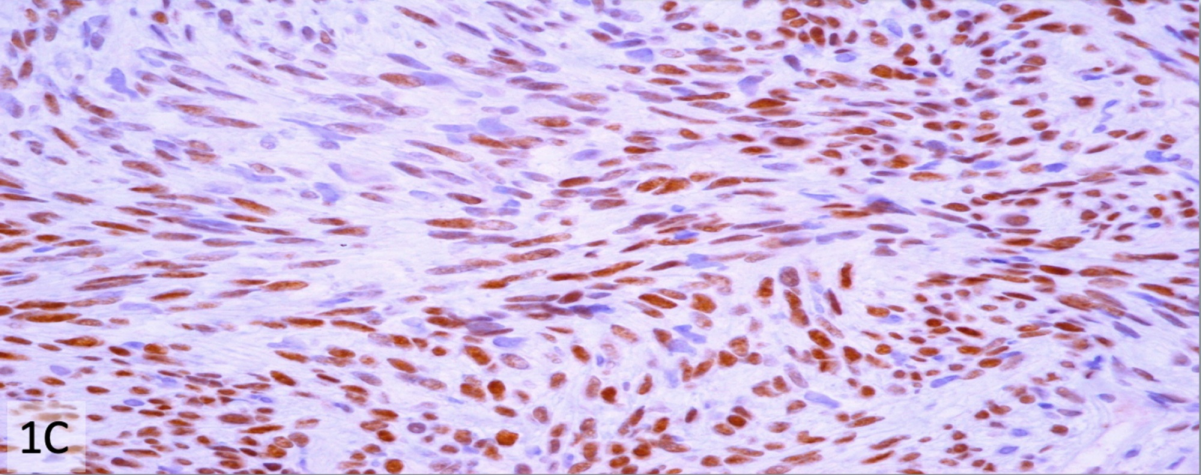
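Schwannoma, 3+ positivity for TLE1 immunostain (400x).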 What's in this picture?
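This tumour consists of spindle cells with elongated, cigar-shaped to oval nuclei arranged in streaming fascicles within a pale fibrillary background. Most nuclei are stained brown, with the staining confined to the nucleus and the cytoplasm left pale. A minority of nuclei are unstained and appear blue from the counterstain, scattered among the brown ones.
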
